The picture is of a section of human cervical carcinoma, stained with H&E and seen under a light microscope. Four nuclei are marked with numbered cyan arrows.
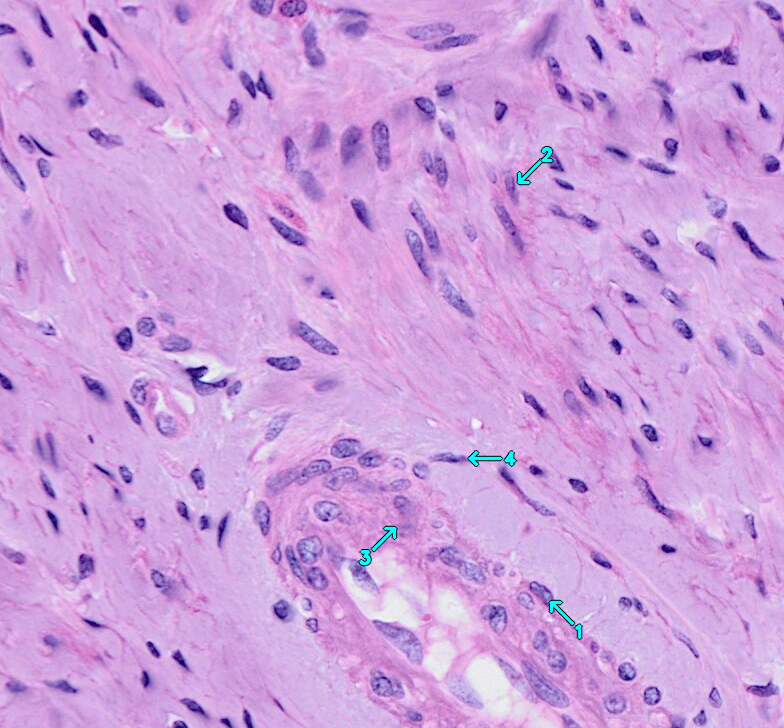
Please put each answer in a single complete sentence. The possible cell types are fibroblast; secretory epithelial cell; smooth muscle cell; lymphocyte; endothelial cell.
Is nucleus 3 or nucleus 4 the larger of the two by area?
It is nucleus 3, which covers about 2.5 times the area of nucleus 4.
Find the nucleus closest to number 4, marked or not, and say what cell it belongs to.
The nucleus nearest to number 4 is that of a smooth muscle cell.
